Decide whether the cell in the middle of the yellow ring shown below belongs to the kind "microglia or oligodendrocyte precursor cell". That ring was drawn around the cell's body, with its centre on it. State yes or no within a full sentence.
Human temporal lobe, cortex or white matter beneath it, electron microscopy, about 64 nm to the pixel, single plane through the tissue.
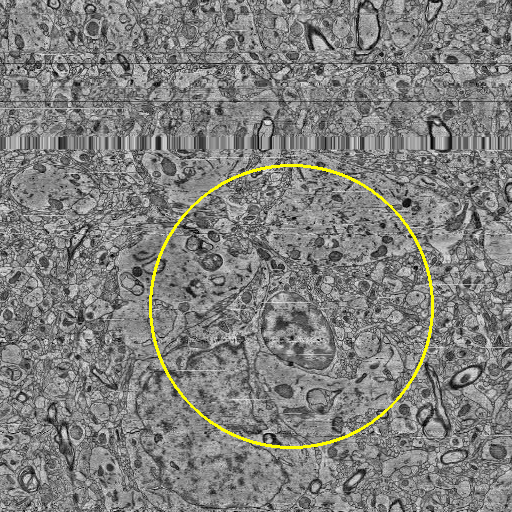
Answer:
Yes, the cell whose body lies at the ring's centre in the picture belongs to that kind.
